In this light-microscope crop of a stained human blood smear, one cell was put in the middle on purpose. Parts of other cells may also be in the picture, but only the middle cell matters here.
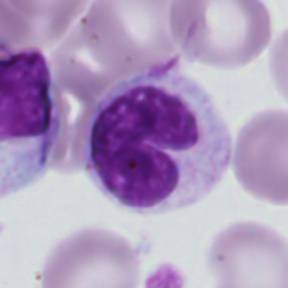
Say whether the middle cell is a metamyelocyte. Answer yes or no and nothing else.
no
